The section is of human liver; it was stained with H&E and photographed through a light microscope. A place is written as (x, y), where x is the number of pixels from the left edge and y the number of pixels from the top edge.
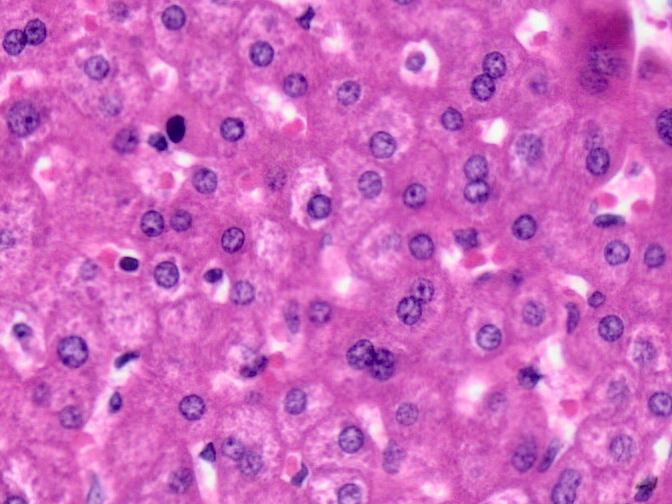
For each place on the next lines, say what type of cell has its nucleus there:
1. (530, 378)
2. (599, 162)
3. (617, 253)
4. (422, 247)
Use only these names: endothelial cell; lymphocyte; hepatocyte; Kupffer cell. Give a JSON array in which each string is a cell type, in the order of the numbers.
["endothelial cell", "hepatocyte", "hepatocyte", "hepatocyte"]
